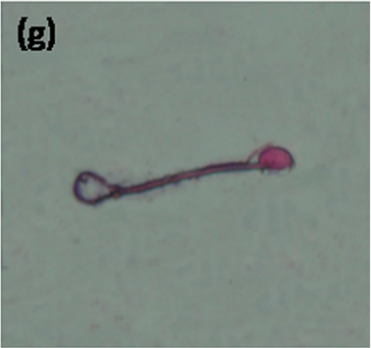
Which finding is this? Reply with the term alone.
tail abnormalities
